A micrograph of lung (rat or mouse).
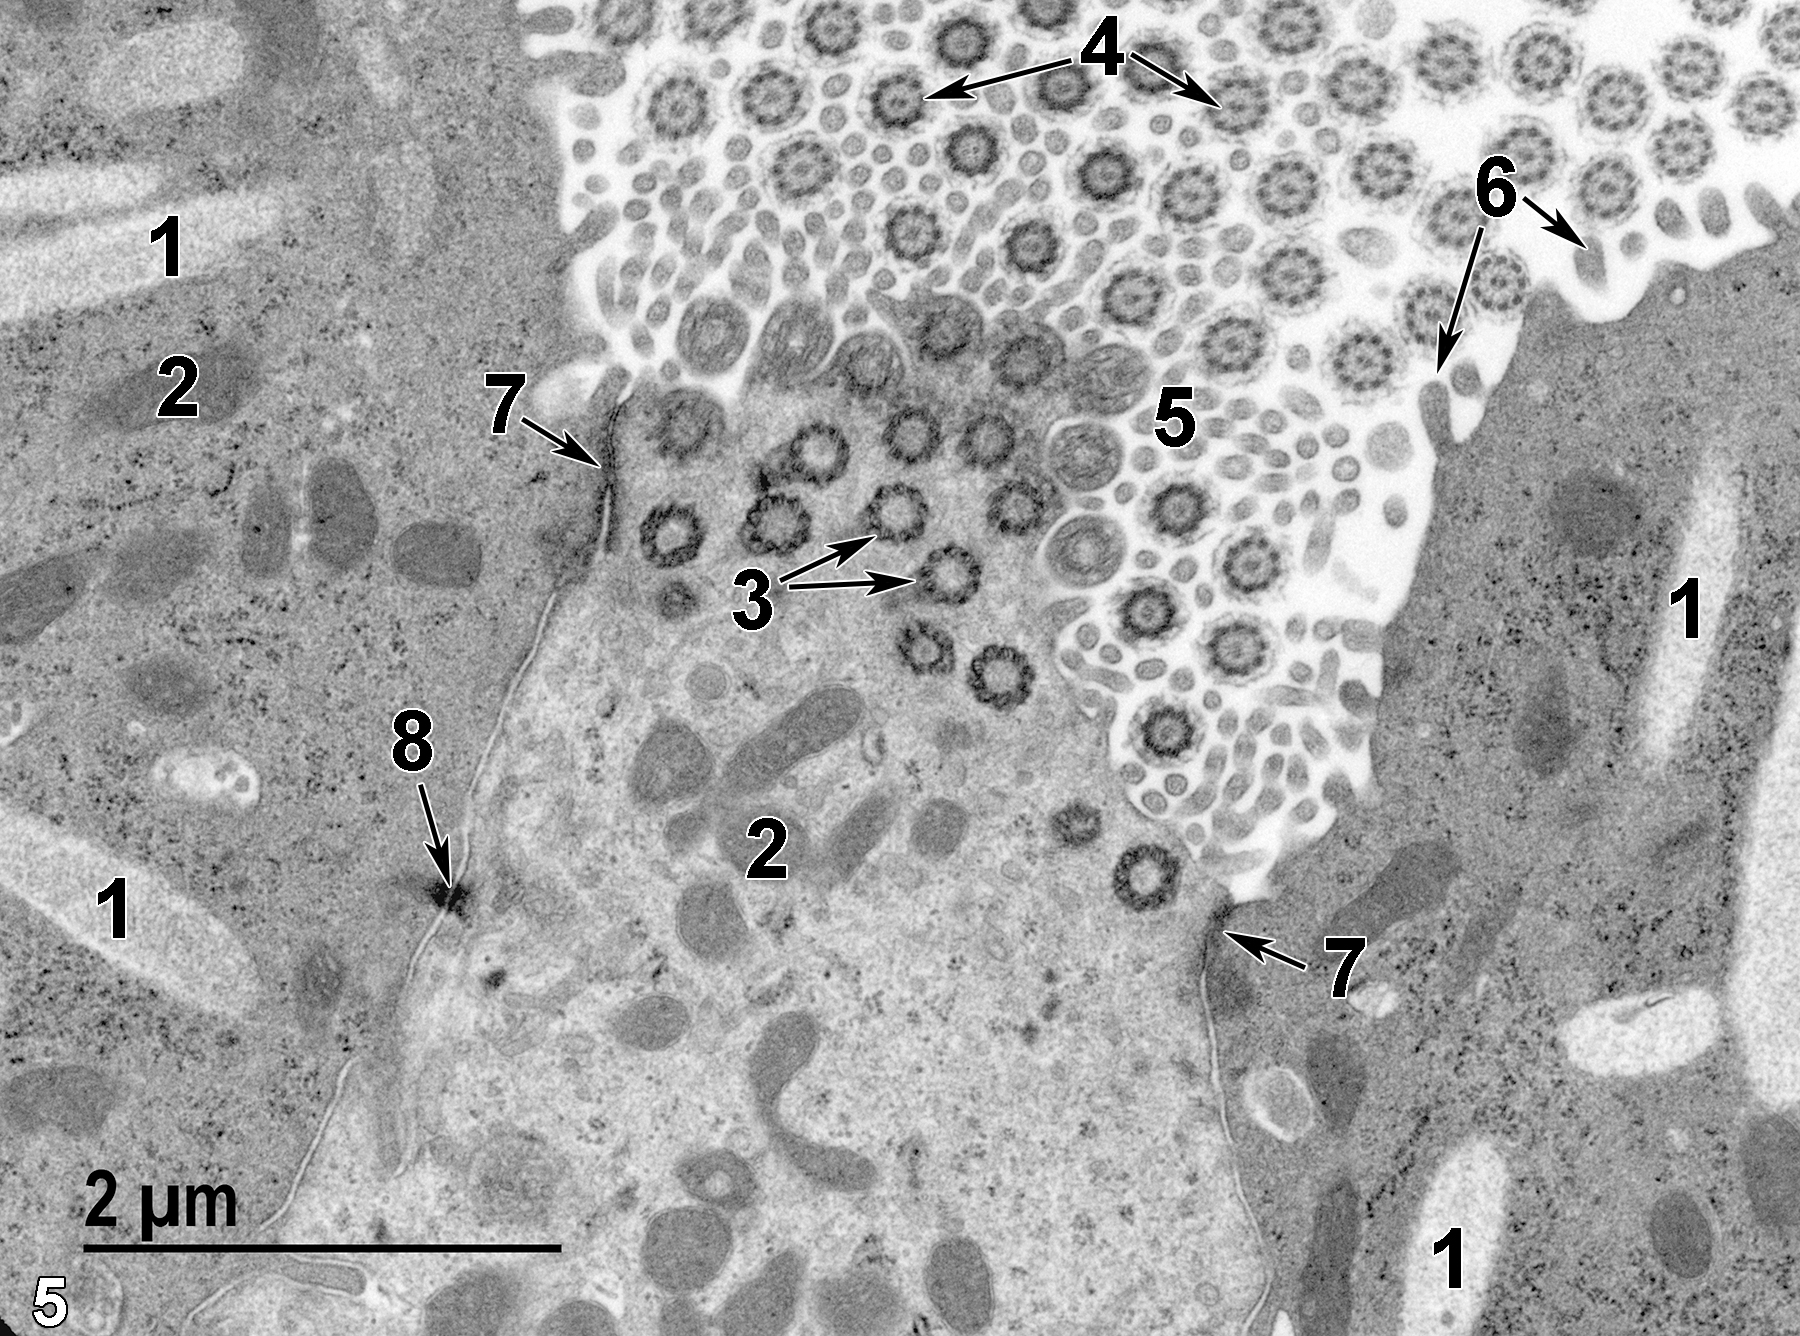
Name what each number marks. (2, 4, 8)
2 - mitochondria
4 - cilia
8 - desmosome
